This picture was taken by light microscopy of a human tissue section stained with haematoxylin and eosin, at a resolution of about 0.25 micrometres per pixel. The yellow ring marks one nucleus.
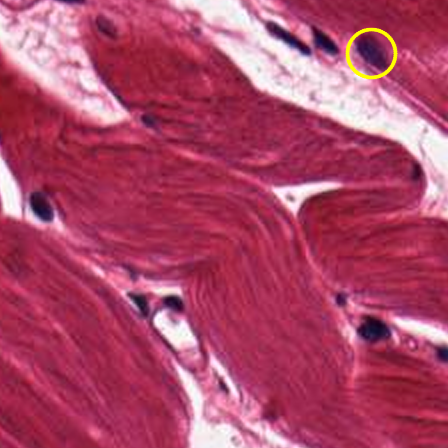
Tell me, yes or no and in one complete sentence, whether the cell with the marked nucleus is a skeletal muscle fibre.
Yes, the marked nucleus is housed in a skeletal muscle fibre.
